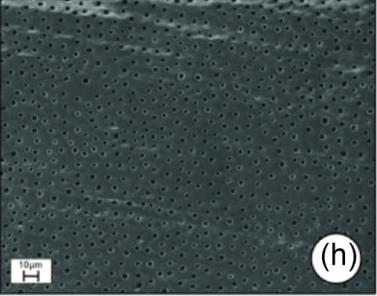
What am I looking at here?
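This is a dentin surface seen from above, with the openings of the dentinal tubules laid bare. They appear as many small, round, dark pores of fairly even size, scattered densely and evenly over a smooth grey surface. A few faint scratch lines still cross the surface, but no covering layer hides the pores.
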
